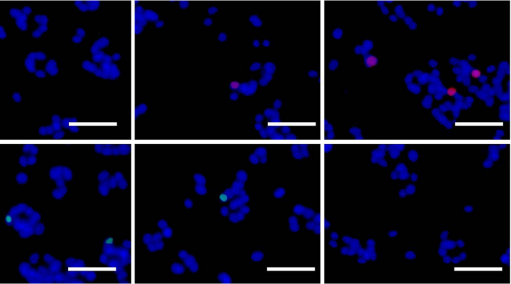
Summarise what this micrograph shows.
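In the top row, only a few nuclei carry a red signal. In the bottom row, only occasional nuclei show a small green signal.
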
